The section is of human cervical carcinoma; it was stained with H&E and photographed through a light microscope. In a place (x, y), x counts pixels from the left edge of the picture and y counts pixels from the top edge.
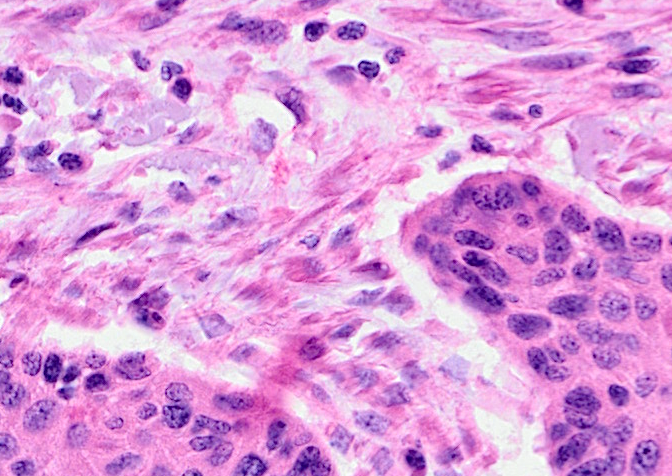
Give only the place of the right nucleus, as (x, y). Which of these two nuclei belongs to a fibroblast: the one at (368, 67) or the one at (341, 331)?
(341, 331)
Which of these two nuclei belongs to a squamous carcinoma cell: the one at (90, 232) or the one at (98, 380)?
(98, 380)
